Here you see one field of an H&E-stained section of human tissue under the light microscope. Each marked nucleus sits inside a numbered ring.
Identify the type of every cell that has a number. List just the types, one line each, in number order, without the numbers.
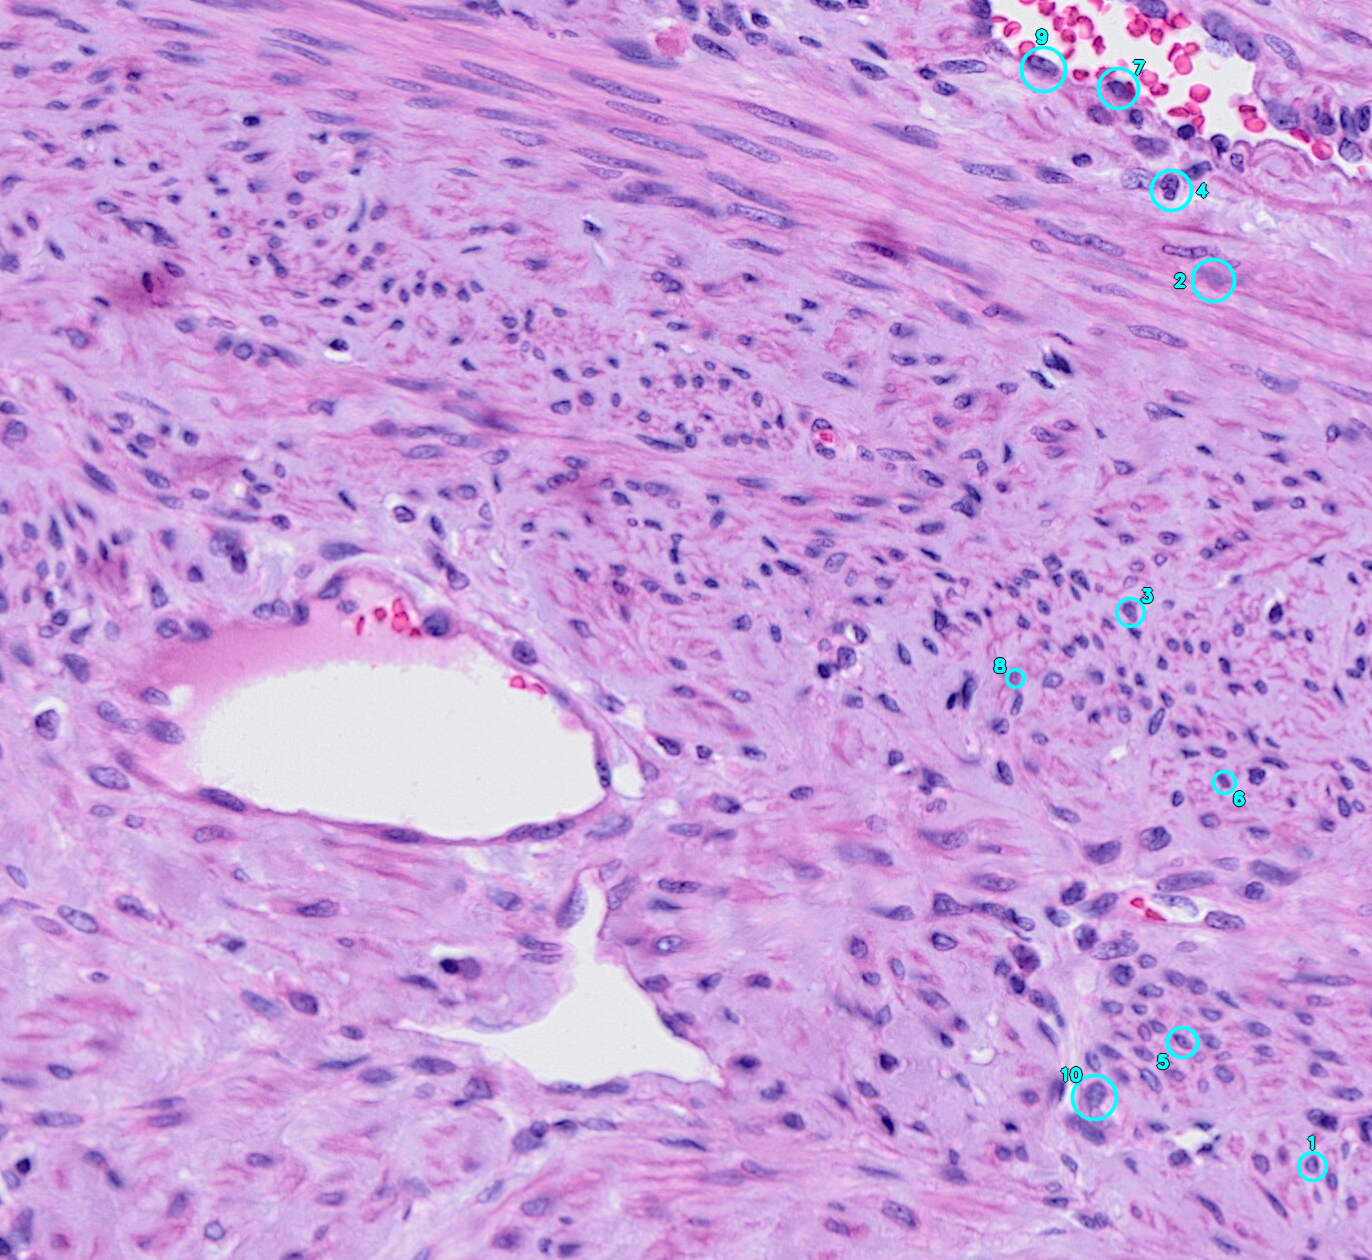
smooth muscle cell
smooth muscle cell
smooth muscle cell
lymphocyte
smooth muscle cell
smooth muscle cell
endothelial cell
smooth muscle cell
endothelial cell
endothelial cell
